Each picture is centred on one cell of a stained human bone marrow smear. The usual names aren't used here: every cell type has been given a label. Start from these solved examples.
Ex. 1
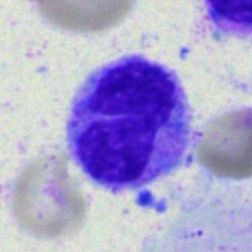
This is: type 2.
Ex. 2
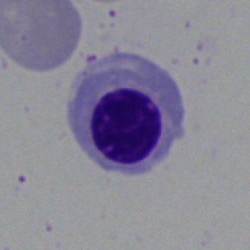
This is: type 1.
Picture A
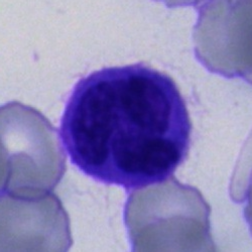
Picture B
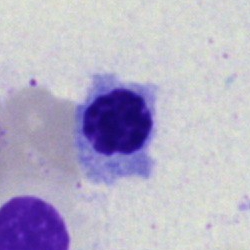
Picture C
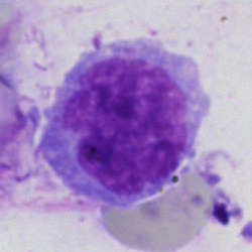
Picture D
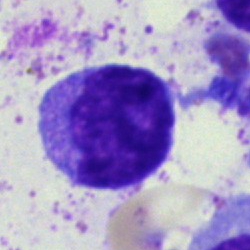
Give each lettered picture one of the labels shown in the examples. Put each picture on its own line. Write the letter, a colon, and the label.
A: type 2.
B: type 1.
C: type 2.
D: type 2.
